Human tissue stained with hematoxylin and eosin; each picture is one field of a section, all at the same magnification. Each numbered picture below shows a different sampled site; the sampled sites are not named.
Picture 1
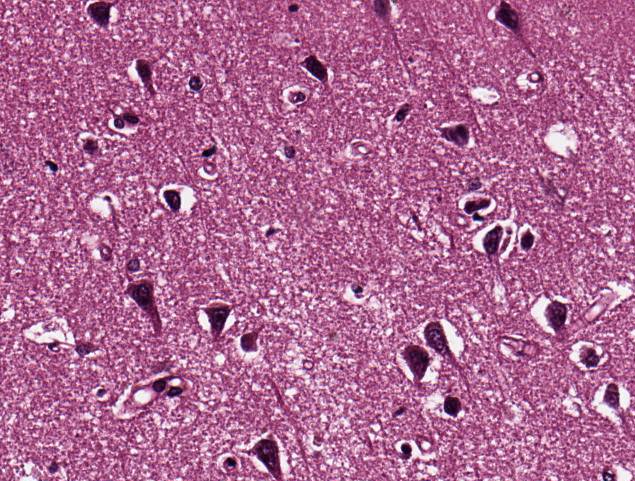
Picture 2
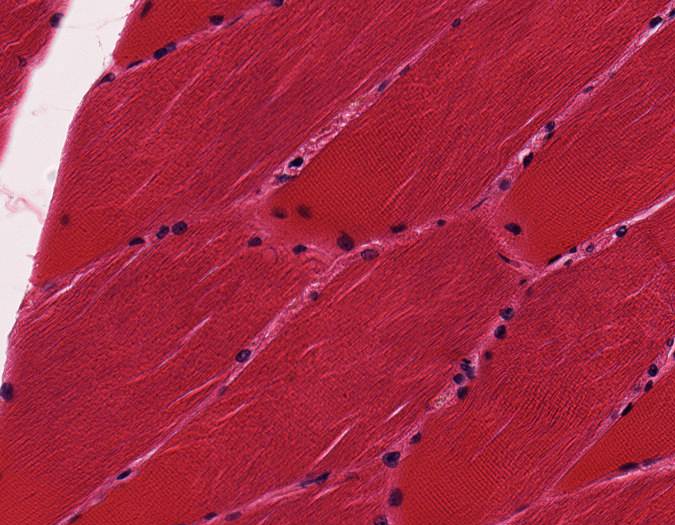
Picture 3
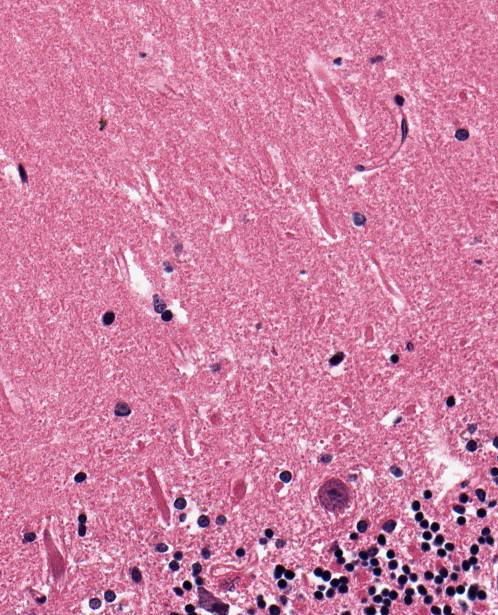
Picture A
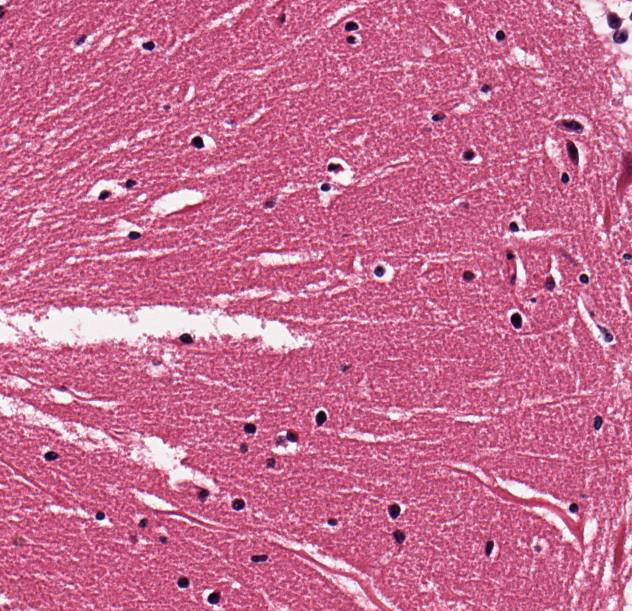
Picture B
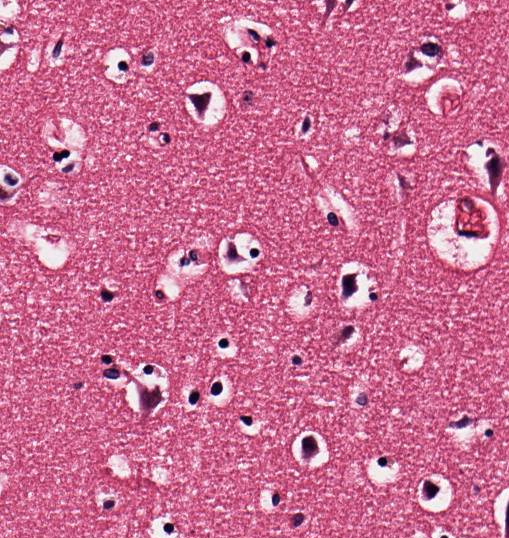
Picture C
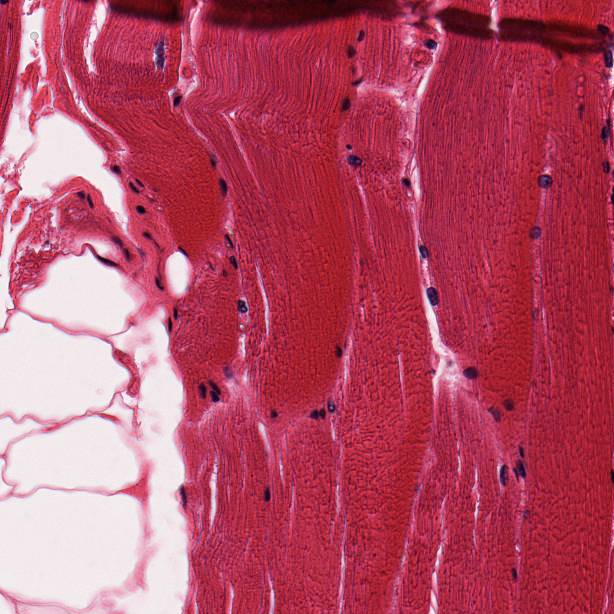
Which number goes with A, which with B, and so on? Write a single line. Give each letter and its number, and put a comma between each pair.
A 3, B 1, C 2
